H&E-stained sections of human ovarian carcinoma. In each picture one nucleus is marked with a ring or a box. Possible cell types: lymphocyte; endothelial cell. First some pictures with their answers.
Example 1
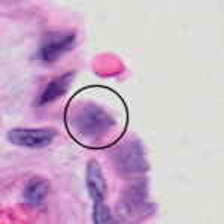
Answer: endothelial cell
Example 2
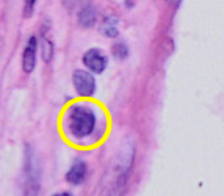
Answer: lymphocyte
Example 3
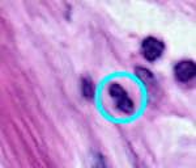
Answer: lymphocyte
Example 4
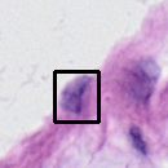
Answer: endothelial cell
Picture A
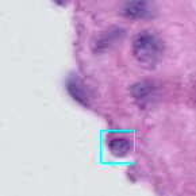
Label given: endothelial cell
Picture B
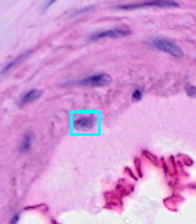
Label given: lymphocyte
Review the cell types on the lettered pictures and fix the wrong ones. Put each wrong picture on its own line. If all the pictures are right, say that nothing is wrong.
B is labelled lymphocyte; correct label: endothelial cell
